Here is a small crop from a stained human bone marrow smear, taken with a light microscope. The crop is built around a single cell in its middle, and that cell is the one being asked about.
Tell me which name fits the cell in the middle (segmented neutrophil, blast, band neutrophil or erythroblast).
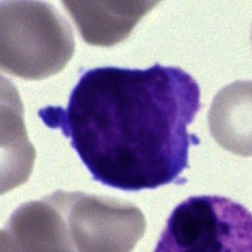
blast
